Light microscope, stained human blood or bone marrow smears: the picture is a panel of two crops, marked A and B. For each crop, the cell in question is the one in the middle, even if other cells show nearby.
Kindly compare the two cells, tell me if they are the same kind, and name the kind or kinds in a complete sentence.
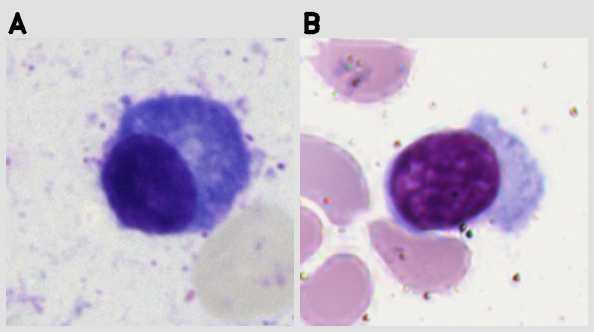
Yes, in the middle of both crops, plasma cells are shown.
